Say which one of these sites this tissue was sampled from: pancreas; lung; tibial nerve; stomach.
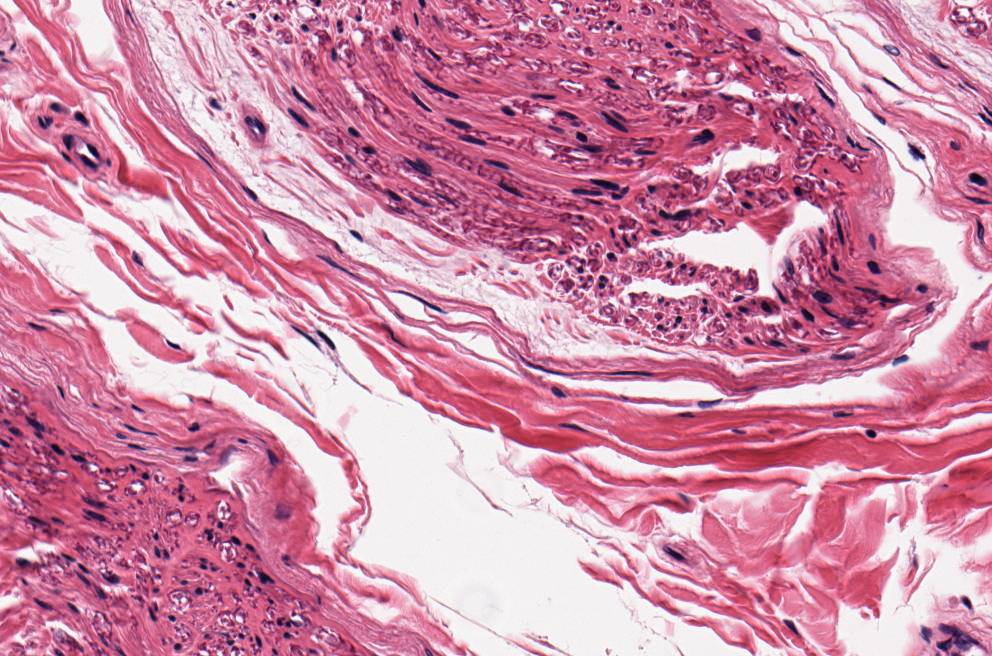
tibial nerve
